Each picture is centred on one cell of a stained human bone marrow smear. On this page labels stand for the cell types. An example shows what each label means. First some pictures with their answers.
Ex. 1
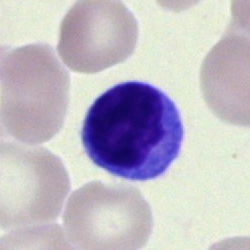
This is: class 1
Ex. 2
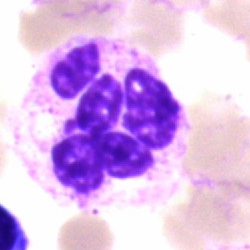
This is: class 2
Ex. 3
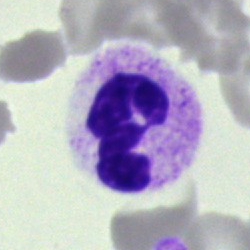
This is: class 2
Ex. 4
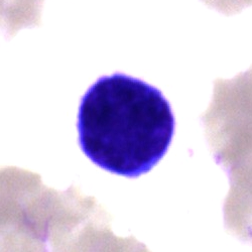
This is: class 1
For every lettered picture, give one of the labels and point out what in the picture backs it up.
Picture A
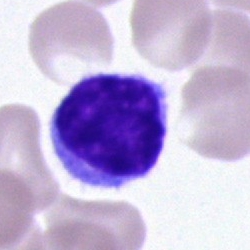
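Answer: class 1. The cytoplasm is scant, forming a thin blue crescent mainly at the lower left.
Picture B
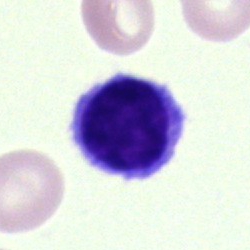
Answer: class 1. The cytoplasm is only a very thin blue rim at the edge of the cell.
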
